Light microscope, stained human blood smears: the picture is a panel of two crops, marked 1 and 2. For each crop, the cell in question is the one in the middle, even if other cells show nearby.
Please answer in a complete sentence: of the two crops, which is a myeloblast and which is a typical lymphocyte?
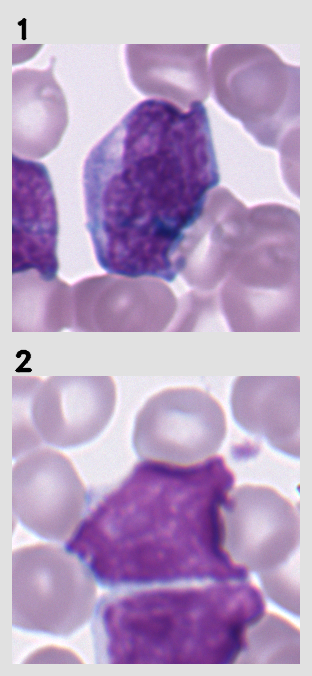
Crop 1 features a myeloblast, and crop 2 features a typical lymphocyte.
